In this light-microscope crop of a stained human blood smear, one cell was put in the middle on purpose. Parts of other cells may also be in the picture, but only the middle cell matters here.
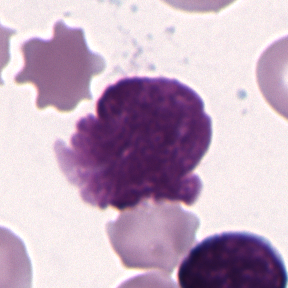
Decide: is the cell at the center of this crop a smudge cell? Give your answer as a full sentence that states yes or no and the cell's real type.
Yes, the centre of the crop holds a smudge cell.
